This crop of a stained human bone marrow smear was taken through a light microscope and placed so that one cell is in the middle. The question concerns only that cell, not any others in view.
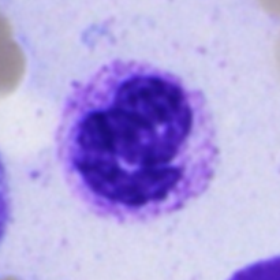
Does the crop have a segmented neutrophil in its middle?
yes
